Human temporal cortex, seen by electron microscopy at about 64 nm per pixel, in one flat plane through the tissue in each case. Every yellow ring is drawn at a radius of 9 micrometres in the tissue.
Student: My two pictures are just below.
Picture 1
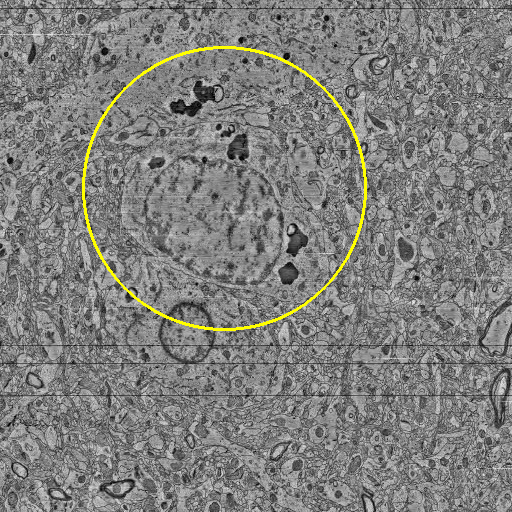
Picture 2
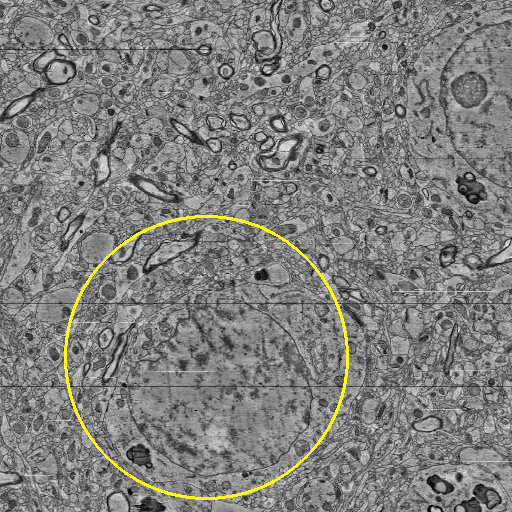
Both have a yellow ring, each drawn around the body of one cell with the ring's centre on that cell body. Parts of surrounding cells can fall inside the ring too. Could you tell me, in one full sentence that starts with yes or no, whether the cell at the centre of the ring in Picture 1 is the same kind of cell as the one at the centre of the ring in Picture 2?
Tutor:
No, the two cells are of two kinds.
